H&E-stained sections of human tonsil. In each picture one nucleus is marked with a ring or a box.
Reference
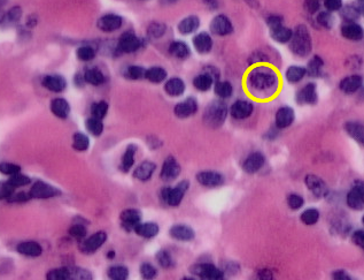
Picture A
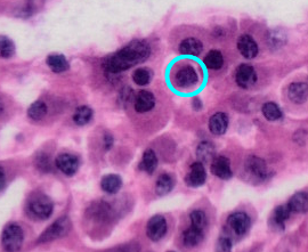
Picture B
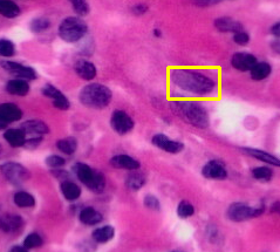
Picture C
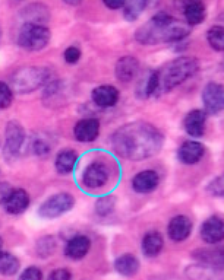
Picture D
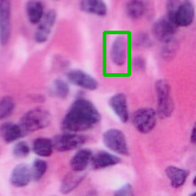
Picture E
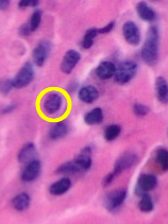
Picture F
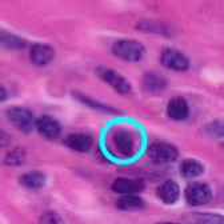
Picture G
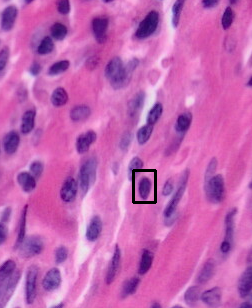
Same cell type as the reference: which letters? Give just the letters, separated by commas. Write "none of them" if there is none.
A, C, F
